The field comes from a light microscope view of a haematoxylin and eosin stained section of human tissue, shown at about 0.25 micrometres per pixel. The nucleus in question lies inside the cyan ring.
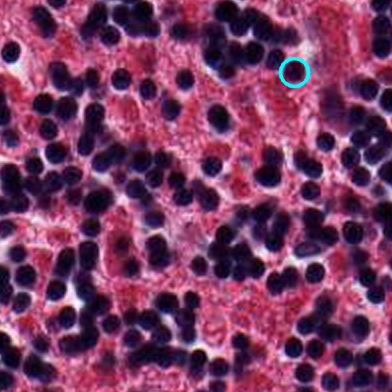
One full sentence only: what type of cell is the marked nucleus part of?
To a cerebellar granule cell belongs the marked nucleus.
